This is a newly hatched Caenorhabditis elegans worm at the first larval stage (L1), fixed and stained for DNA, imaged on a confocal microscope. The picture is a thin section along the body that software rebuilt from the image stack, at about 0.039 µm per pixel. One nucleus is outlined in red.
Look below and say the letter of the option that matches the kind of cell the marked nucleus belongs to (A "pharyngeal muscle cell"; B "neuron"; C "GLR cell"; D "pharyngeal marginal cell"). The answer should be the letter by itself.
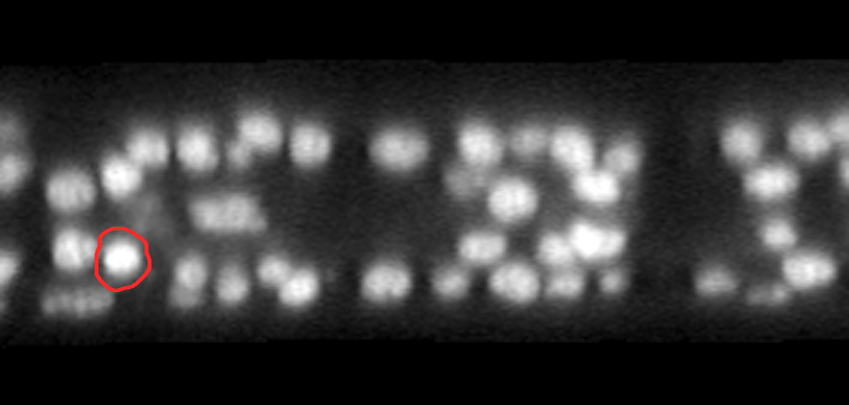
A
